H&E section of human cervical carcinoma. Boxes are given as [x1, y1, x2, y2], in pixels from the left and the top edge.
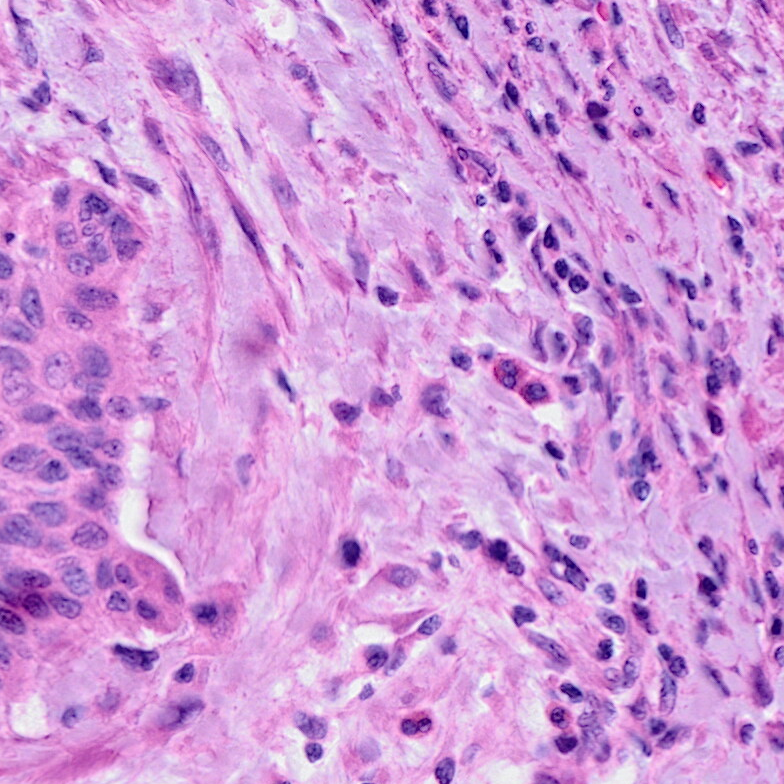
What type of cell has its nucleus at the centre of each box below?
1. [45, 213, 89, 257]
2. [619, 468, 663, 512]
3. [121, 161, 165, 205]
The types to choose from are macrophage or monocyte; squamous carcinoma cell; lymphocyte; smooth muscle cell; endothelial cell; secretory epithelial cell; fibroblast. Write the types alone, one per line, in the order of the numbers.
squamous carcinoma cell
lymphocyte
fibroblast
